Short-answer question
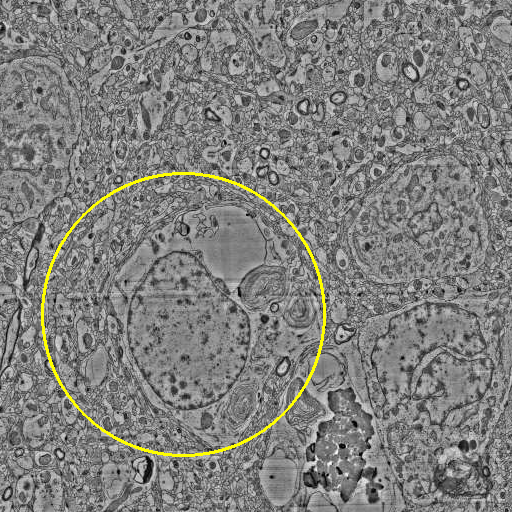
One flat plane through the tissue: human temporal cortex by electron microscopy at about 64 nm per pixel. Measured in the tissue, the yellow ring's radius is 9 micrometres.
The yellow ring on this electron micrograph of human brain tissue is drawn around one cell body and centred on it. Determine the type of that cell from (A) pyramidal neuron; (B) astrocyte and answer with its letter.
B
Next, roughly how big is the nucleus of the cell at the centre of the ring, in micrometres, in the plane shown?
The nucleus of the ringed cell is approximately 10 by 8 micrometres in this plane.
